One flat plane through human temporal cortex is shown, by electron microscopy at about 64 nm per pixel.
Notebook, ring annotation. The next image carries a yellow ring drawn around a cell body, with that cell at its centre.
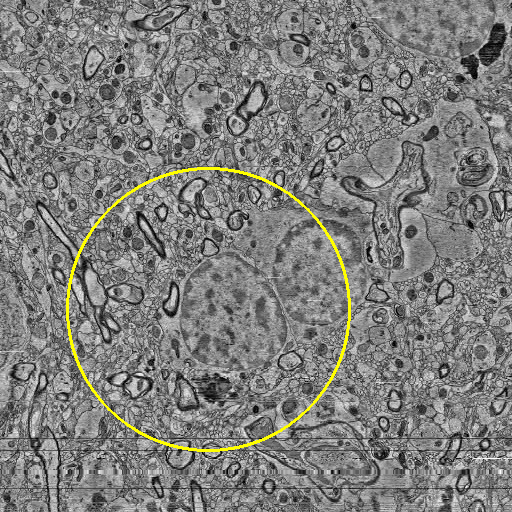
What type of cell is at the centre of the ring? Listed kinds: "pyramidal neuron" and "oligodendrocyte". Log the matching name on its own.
oligodendrocyte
